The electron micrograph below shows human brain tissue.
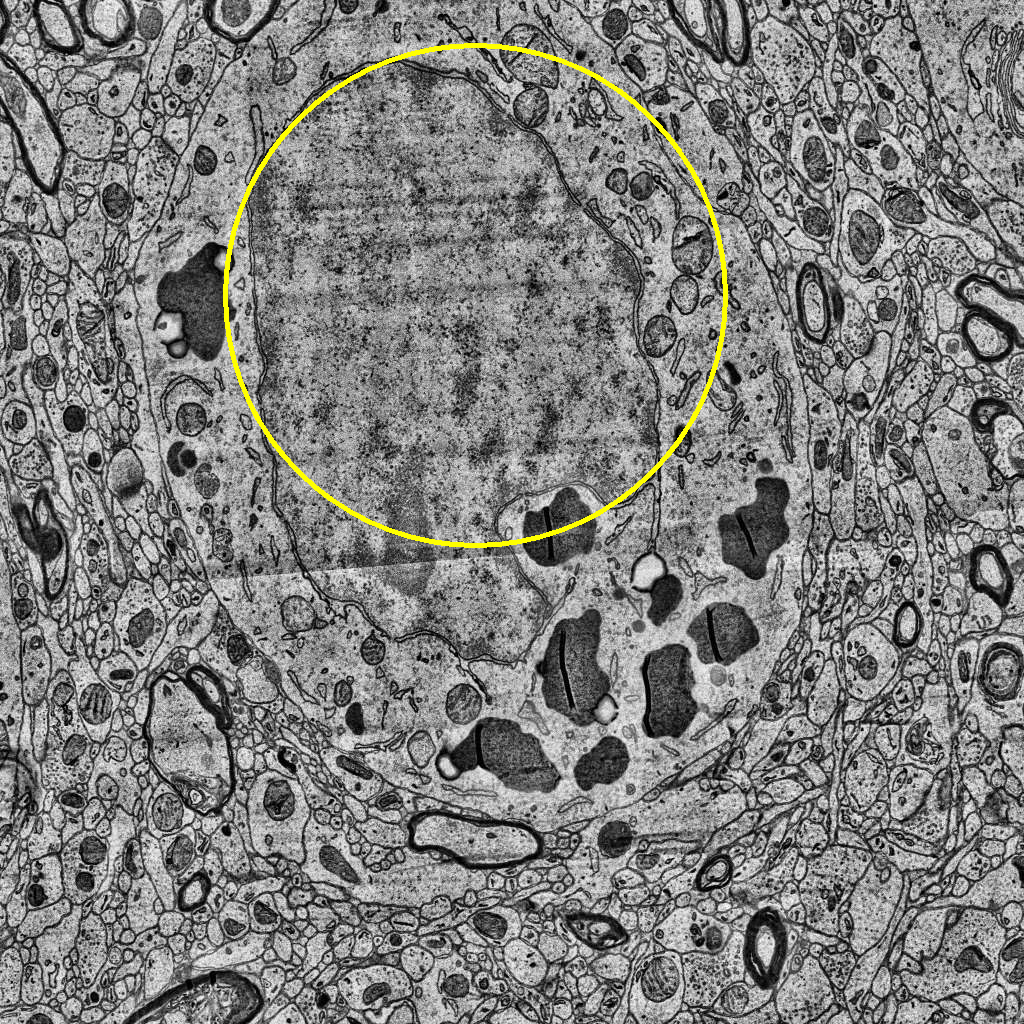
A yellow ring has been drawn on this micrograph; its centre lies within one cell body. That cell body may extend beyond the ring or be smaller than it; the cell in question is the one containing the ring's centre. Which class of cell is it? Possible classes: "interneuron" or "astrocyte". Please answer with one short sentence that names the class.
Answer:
In the centre of the ring sits an interneuron.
